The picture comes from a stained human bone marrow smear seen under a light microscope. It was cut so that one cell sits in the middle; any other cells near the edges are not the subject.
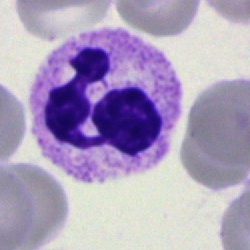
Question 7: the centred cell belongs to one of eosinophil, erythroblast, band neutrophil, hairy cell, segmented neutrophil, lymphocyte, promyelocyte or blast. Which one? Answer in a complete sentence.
The central cell, amid any neighbouring cells, is a segmented neutrophil.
